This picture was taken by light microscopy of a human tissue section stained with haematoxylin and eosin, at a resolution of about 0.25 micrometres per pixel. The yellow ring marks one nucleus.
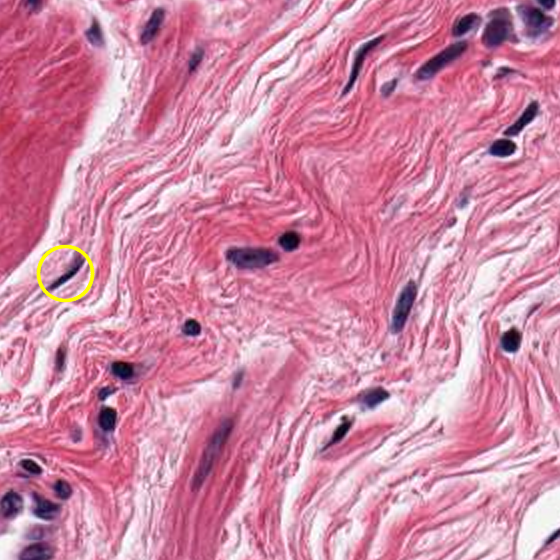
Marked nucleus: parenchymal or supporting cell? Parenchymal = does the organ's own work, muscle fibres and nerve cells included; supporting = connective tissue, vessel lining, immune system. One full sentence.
Housed within a supporting cell is the marked nucleus.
